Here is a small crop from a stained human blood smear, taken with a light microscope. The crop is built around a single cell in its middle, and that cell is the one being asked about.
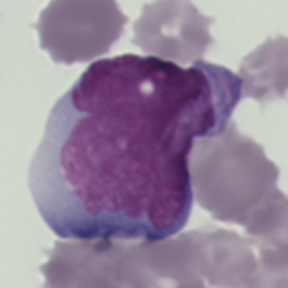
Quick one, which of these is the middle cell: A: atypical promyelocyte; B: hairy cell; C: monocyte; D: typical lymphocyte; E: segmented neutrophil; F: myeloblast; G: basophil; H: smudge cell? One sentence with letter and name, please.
In the middle of the crop is a myeloblast; option F is therefore correct.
